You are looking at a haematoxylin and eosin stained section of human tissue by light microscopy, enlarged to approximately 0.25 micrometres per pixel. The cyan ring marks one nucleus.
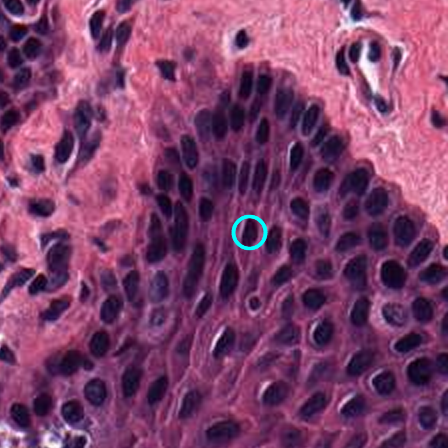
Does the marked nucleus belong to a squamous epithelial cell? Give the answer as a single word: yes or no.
yes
